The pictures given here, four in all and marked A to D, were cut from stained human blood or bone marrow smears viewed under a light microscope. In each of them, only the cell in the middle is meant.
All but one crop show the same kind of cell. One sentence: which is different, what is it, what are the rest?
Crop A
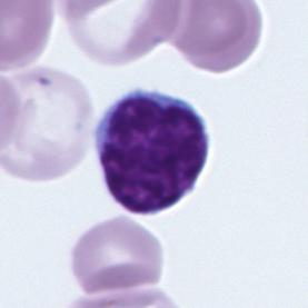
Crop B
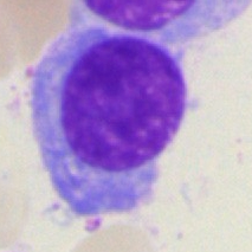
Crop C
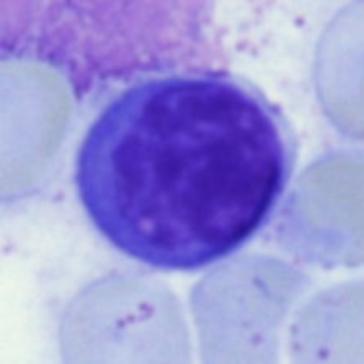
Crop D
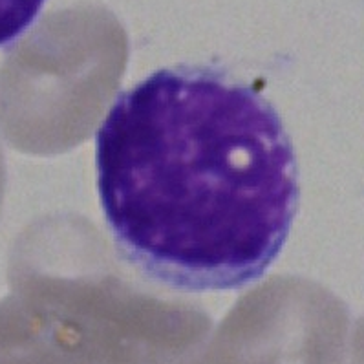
For this set, crop B is a plasma cell, and all the rest are lymphocytes.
